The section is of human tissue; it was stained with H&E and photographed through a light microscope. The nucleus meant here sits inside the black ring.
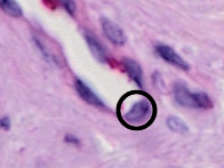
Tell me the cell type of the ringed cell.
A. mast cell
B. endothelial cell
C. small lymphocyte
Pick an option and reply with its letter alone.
B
